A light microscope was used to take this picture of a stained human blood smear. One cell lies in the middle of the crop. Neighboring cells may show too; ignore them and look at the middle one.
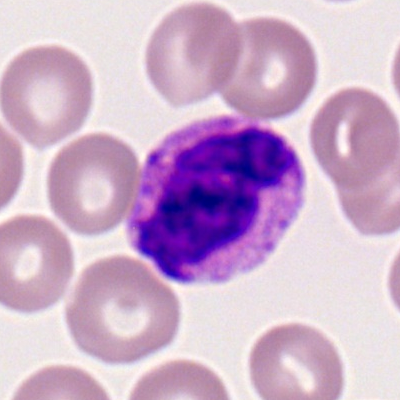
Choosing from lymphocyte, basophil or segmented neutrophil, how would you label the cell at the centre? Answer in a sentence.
The cell positioned in the middle of the field is a basophil.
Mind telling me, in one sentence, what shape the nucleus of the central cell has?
One compact mass makes up the whole nucleus, round, oval or kidney-shaped.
